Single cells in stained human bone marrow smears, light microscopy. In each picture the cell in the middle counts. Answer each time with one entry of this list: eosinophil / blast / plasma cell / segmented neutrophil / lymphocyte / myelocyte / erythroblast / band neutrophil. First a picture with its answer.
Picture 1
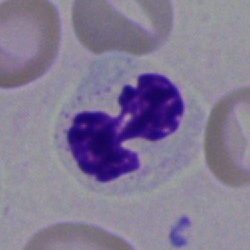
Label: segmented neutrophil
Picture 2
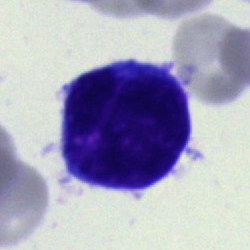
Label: blast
